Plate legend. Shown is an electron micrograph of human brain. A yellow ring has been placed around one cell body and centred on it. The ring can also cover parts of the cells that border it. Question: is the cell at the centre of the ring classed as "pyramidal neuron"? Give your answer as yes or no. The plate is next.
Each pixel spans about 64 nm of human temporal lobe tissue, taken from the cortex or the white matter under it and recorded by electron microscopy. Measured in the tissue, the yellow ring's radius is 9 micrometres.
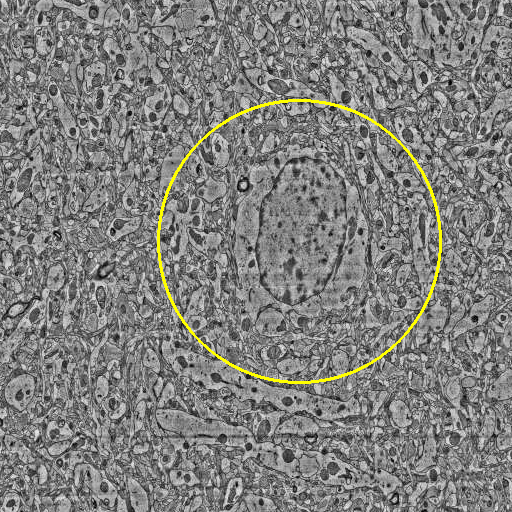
No, the ringed cell is of another kind.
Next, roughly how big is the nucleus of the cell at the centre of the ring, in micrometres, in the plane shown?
In this plane the nucleus spans approximately 9 by 6 micrometers.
